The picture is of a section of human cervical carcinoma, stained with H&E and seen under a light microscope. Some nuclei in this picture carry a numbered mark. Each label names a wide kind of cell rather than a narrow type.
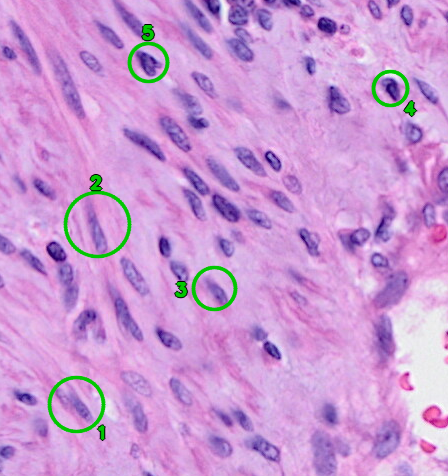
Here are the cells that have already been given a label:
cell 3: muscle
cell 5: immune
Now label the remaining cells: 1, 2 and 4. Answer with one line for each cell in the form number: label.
1: muscle
2: muscle
4: immune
